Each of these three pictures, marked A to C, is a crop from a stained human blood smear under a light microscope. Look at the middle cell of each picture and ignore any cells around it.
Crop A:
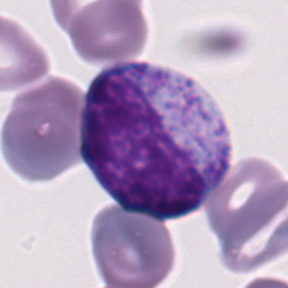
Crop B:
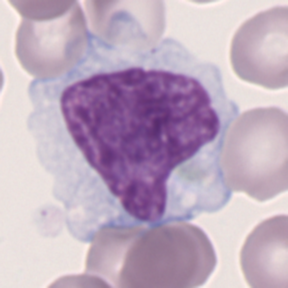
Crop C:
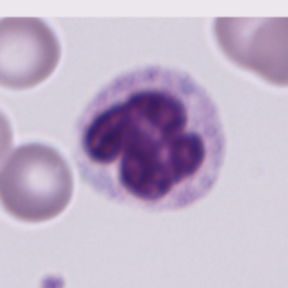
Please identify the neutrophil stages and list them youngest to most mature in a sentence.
Across the crops, maturity increases in the order crop B (a myeloblast), crop A (a myelocyte) and crop C (a segmented neutrophil).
